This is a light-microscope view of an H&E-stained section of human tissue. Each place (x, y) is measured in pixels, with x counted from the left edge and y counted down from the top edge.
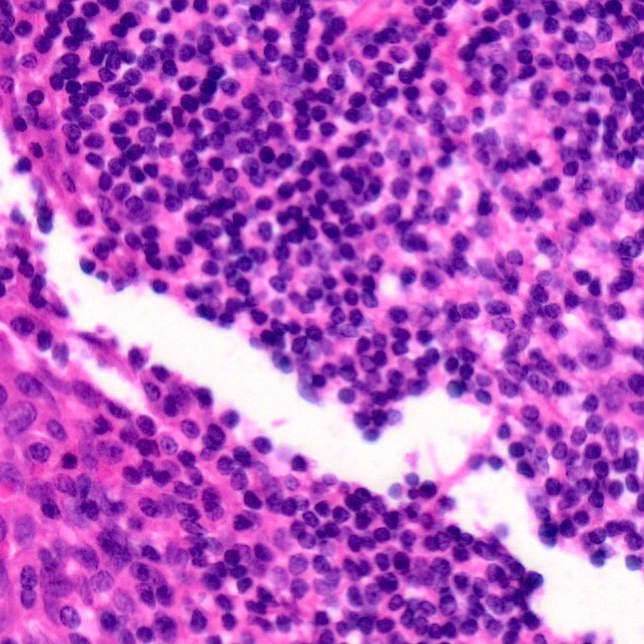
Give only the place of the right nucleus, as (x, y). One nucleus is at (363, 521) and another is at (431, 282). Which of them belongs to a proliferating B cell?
(431, 282)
